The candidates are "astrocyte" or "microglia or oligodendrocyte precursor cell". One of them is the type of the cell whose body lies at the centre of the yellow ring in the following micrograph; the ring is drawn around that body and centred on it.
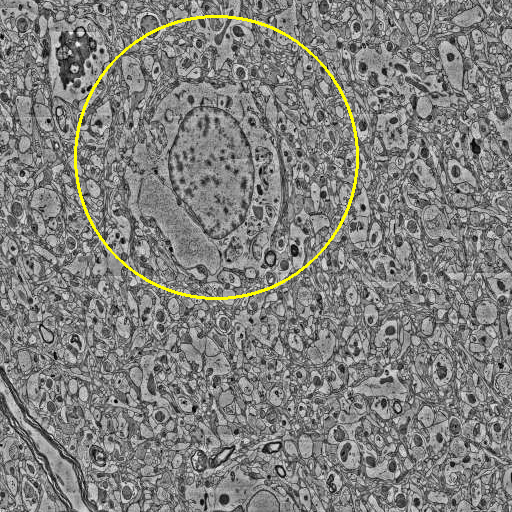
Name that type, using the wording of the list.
astrocyte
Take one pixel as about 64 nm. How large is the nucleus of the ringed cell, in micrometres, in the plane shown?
In this plane the nucleus measures about 8 by 5 micrometres and is clearly longer than it is wide.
